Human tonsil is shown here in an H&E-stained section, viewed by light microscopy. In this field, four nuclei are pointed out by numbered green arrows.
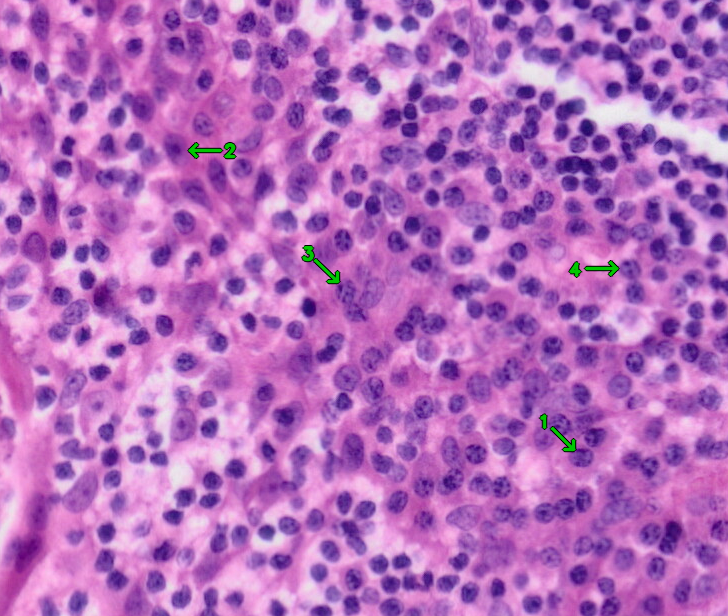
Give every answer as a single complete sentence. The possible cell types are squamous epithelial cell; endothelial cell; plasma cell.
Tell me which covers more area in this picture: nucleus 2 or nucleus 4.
Nucleus 2 is larger, with an area about 1.5 times that of nucleus 4.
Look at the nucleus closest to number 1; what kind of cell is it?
The cell nearest to number 1 is a plasma cell.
